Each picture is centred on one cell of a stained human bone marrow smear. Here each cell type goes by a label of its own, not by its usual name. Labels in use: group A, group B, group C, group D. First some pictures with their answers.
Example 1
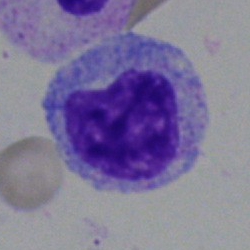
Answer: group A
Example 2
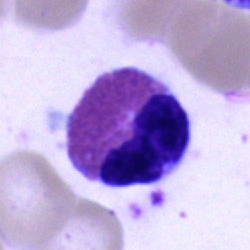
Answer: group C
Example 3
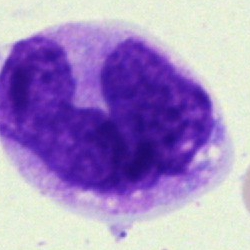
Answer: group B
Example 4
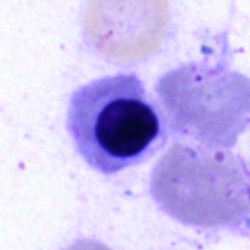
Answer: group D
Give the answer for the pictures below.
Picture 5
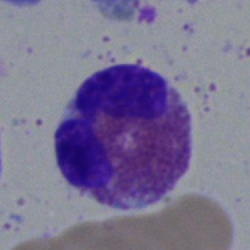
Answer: group C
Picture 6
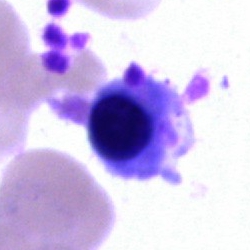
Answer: group D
